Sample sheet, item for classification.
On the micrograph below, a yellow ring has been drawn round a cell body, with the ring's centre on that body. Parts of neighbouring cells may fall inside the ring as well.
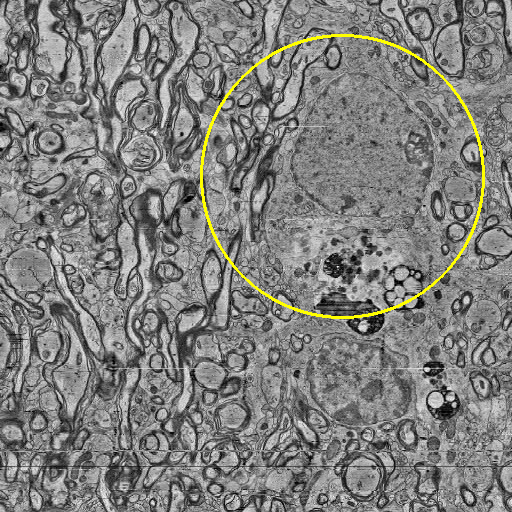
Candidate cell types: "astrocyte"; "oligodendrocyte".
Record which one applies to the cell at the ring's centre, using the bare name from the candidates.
astrocyte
